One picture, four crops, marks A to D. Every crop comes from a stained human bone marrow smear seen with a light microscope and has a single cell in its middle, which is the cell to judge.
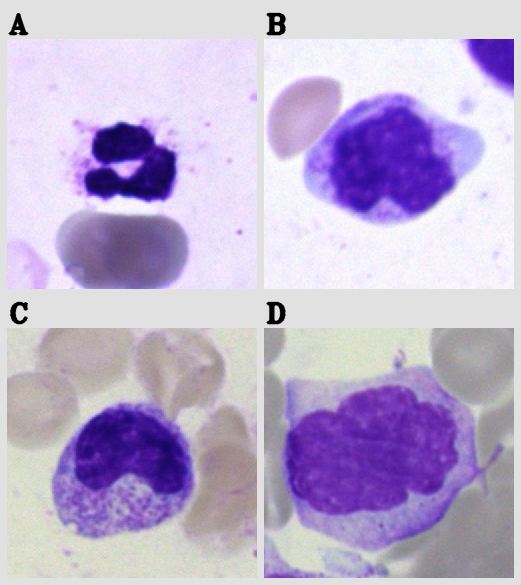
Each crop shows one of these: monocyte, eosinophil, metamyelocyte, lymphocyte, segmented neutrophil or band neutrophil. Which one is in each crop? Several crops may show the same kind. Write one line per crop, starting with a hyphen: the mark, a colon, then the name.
- A: segmented neutrophil
- B: monocyte
- C: band neutrophil
- D: monocyte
